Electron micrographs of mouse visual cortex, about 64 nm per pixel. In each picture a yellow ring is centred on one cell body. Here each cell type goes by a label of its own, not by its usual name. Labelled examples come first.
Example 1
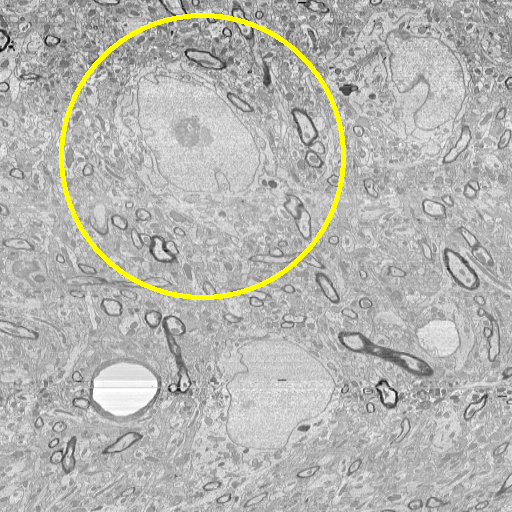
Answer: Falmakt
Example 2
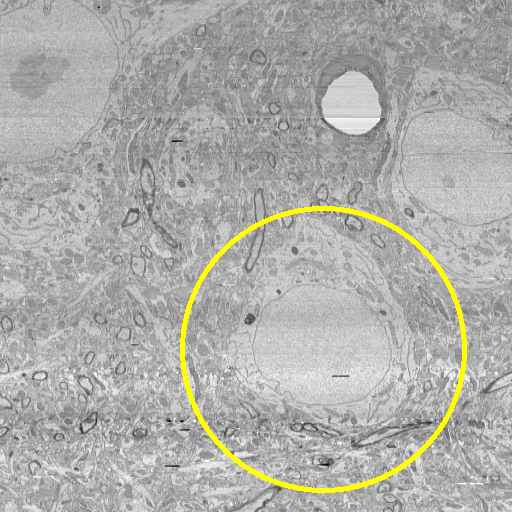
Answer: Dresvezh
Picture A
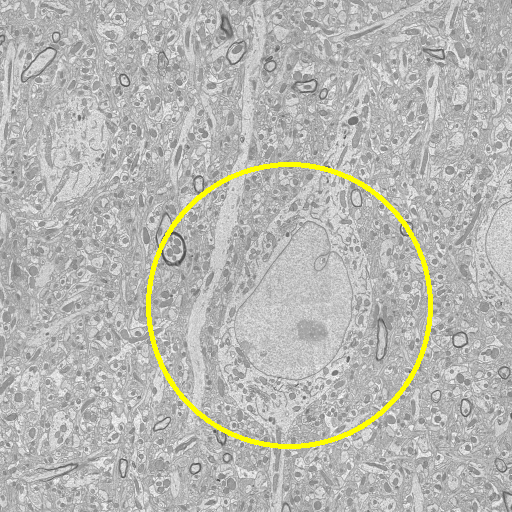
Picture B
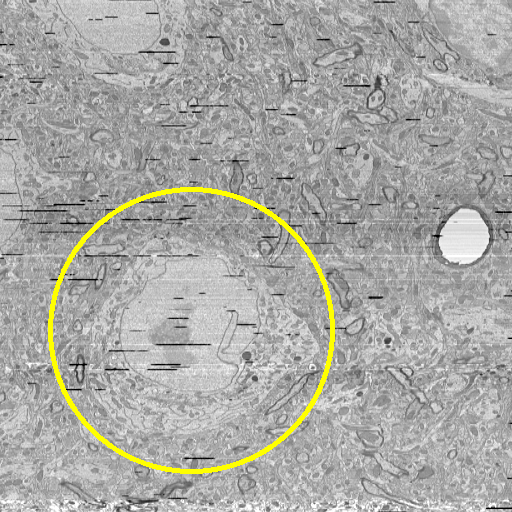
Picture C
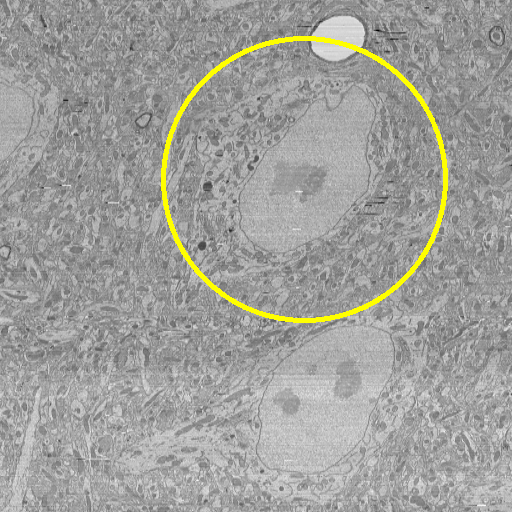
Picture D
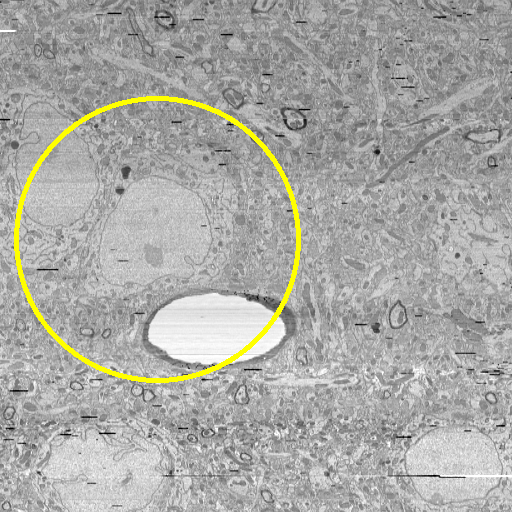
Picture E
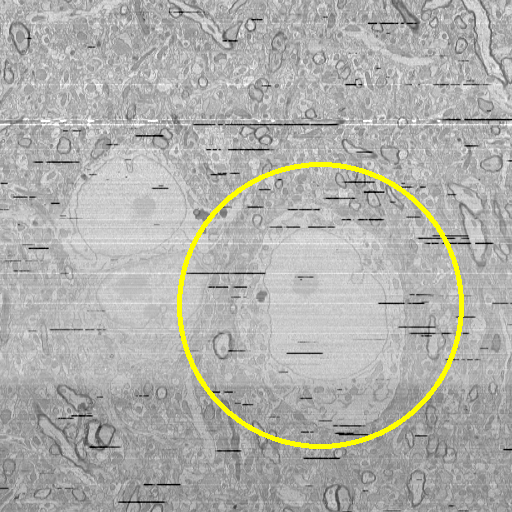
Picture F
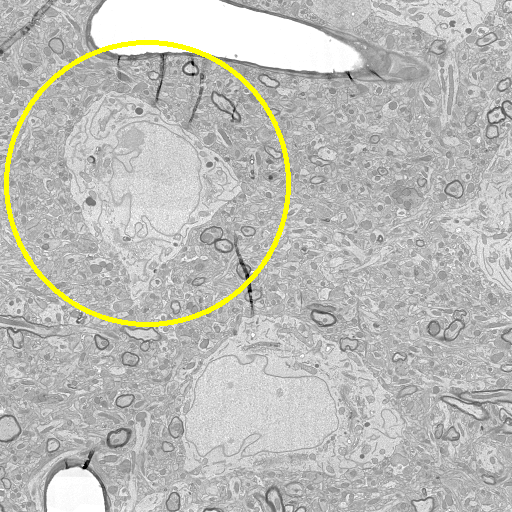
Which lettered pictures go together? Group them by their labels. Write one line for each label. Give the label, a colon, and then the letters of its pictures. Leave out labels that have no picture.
Falmakt: A, B, C, F
Dresvezh: D, E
